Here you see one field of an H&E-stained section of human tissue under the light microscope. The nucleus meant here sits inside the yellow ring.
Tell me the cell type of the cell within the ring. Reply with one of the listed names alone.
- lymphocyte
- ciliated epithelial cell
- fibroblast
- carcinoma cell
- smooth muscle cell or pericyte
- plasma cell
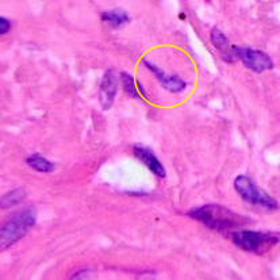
fibroblast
